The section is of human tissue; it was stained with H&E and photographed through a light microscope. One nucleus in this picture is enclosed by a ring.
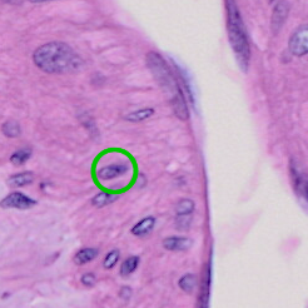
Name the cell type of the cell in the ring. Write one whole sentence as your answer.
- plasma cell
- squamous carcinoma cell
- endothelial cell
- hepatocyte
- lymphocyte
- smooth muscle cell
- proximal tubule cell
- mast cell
In this preparation, the cell in the ring is a smooth muscle cell.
